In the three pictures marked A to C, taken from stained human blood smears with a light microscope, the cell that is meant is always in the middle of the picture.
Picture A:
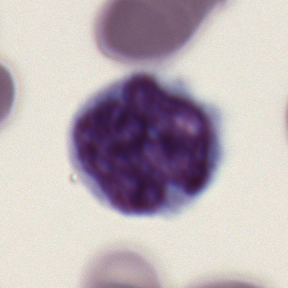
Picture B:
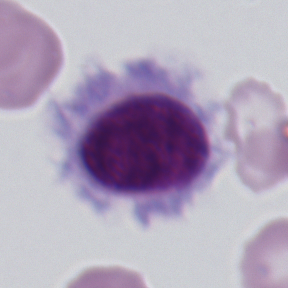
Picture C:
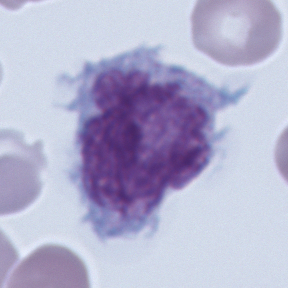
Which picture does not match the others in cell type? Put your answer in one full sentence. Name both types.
Picture B differs, because its cell is a hairy cell and the rest are monocytes.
